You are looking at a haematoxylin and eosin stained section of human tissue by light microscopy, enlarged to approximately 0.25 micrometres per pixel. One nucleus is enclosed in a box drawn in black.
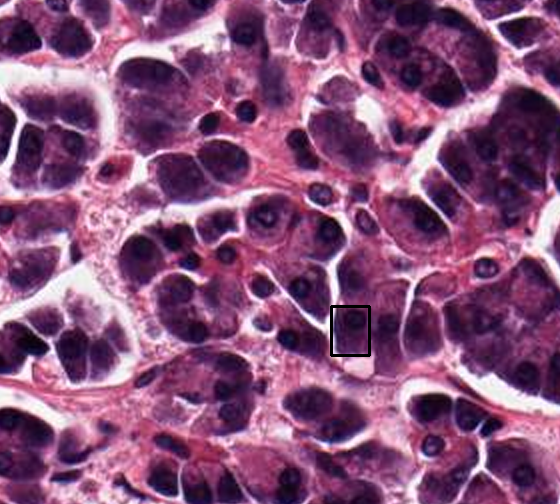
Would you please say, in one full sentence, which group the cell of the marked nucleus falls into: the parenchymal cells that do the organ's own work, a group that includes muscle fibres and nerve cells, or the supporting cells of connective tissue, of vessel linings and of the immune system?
Of the parenchymal cells, the one holding the marked nucleus is a pancreatic acinar cell.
